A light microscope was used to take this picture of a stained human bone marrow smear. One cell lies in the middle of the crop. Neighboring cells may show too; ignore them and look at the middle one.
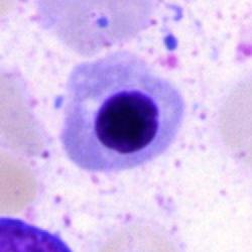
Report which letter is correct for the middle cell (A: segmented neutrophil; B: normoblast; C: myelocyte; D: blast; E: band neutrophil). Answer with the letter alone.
B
